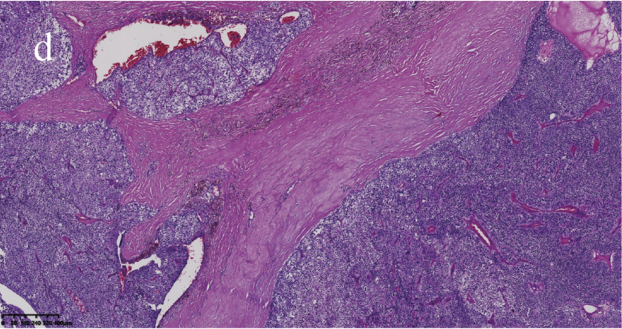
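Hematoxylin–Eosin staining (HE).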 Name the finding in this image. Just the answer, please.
Penetrating the capsule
